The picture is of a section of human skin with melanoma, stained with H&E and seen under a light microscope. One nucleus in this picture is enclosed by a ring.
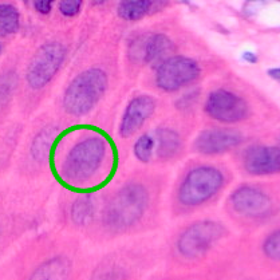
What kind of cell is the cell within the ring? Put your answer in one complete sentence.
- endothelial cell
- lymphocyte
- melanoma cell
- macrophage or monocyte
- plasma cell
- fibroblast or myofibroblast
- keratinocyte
It is a keratinocyte that the cell within the ring represents.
